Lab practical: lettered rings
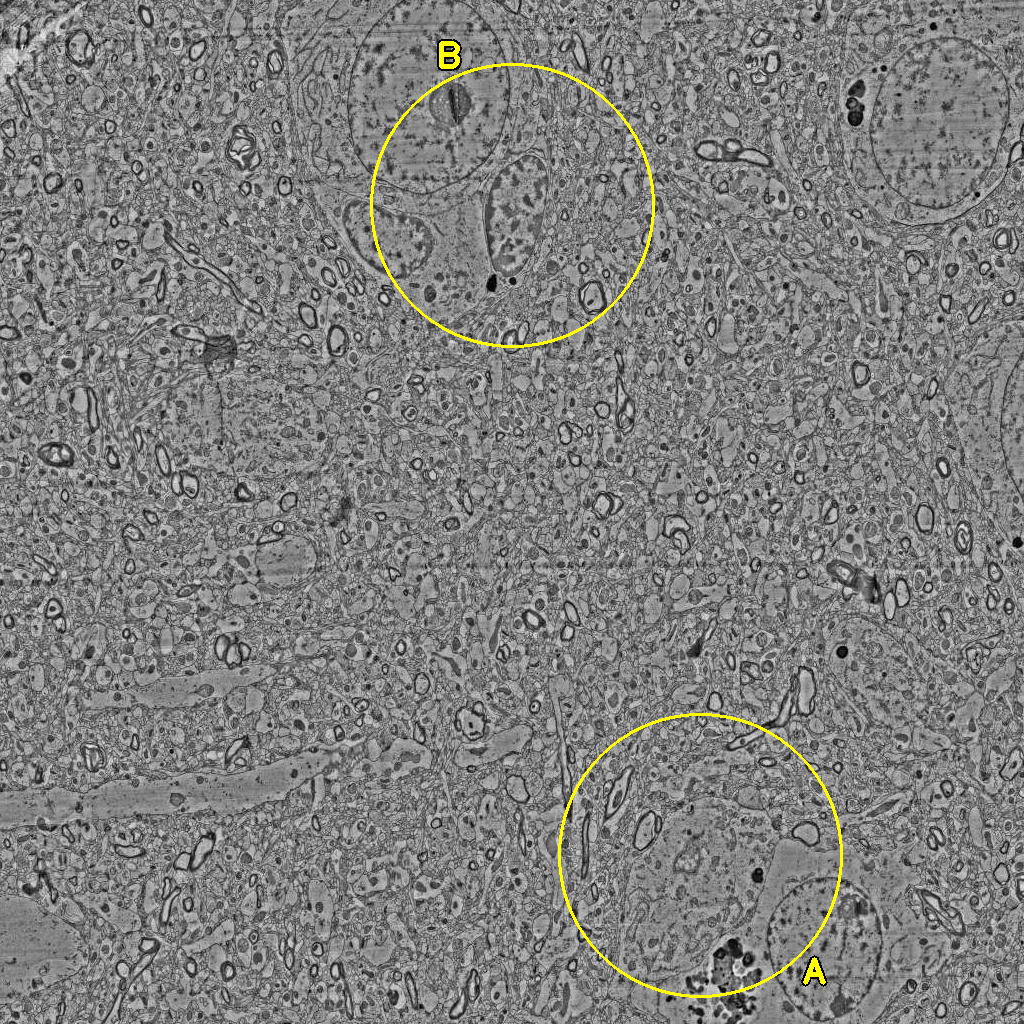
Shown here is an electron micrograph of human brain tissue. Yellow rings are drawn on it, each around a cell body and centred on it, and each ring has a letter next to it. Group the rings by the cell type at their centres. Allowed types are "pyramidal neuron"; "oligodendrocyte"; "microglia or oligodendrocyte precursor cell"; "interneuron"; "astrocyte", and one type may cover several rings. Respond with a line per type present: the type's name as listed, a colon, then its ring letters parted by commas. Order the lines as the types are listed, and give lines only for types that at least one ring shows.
microglia or oligodendrocyte precursor cell: B
interneuron: A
